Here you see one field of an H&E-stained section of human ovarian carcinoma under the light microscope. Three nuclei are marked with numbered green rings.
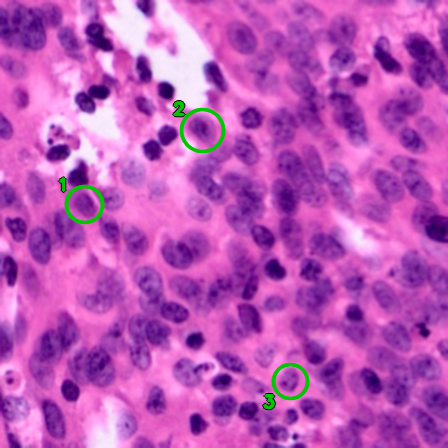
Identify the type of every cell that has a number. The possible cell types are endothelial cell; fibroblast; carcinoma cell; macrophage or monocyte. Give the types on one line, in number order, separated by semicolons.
carcinoma cell; carcinoma cell; macrophage or monocyte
